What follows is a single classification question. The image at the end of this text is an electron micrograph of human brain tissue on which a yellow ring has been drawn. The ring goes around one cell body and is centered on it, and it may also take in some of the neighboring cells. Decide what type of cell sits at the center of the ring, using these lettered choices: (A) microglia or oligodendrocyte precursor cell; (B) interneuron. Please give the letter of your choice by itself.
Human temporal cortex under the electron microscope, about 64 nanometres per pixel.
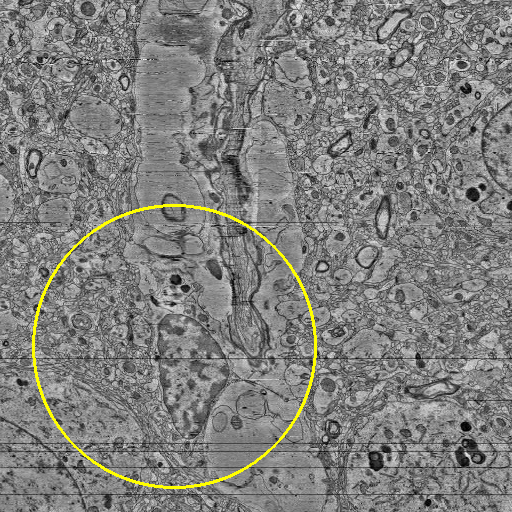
A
